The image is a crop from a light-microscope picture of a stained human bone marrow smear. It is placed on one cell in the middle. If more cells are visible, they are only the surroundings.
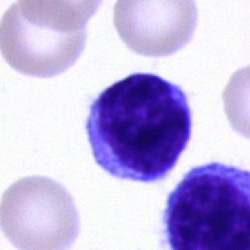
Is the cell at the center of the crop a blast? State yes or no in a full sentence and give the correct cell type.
No, the middle of this crop is occupied by a lymphocyte rather than a blast.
